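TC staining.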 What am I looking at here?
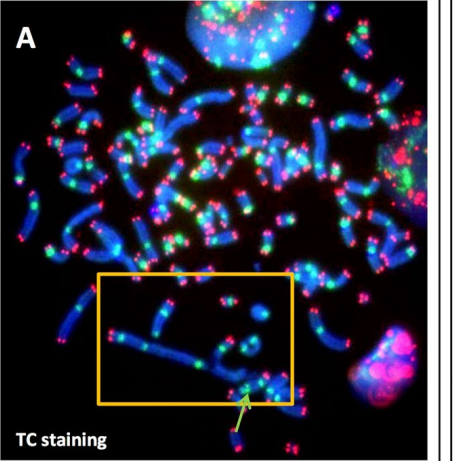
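This is a crowded metaphase spread of blue-stained chromosomes, each marked with red dots at the ends and green dots near the constriction. In the lower part a boxed region holds an unusually long chromosome carrying several green dots along its length, together with smaller fragments nearby. Interphase nuclei with many red and green dots sit at the edges of the field.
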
